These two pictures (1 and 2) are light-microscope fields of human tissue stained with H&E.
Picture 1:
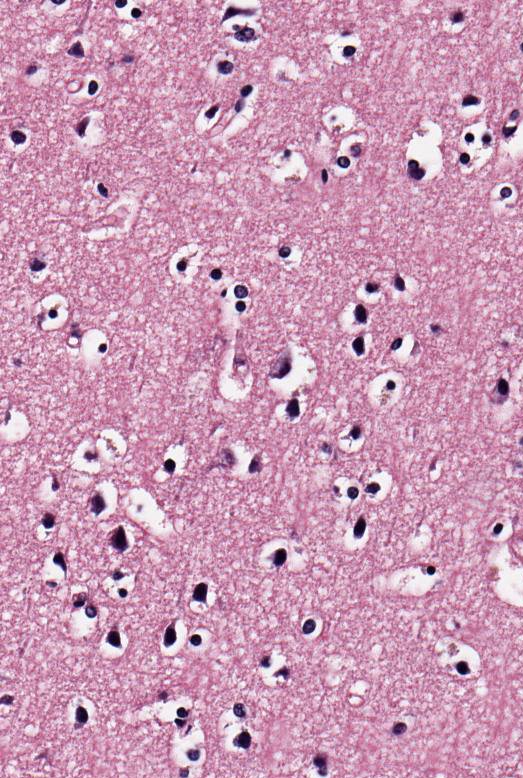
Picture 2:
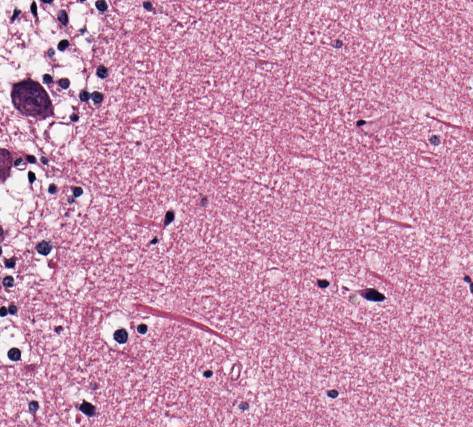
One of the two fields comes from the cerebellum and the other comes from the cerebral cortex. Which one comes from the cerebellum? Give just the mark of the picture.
2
